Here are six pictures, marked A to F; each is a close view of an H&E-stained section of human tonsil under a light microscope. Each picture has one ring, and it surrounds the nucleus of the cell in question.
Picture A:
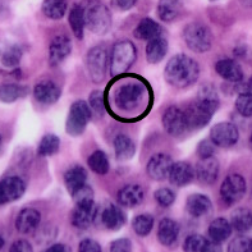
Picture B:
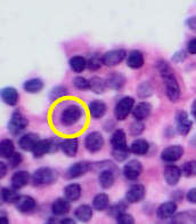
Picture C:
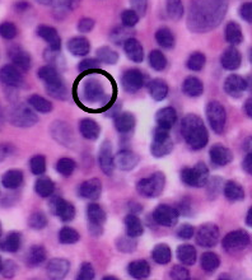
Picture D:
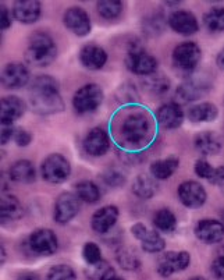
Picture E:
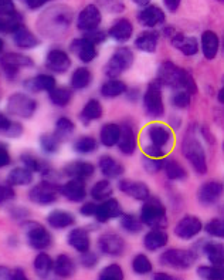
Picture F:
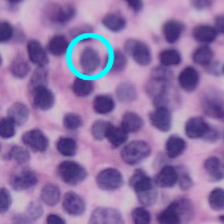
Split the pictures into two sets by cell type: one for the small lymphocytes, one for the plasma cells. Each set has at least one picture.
A: plasma cell
B: small lymphocyte
C: small lymphocyte
D: plasma cell
E: small lymphocyte
F: small lymphocyte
